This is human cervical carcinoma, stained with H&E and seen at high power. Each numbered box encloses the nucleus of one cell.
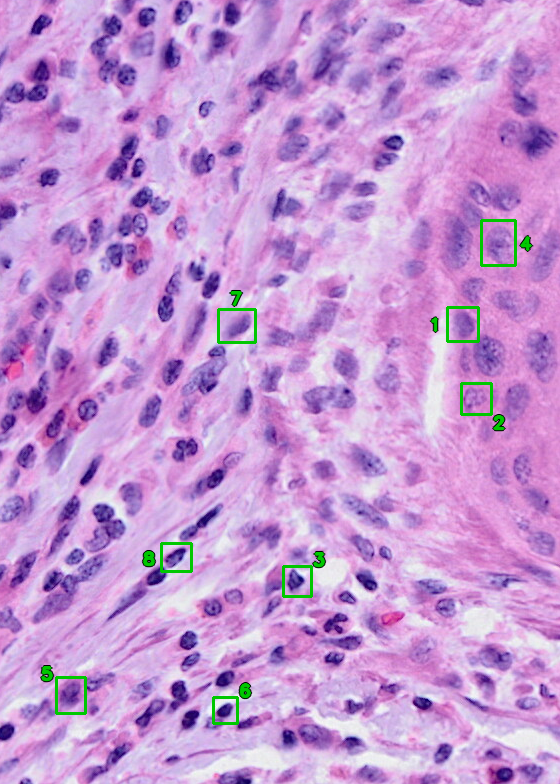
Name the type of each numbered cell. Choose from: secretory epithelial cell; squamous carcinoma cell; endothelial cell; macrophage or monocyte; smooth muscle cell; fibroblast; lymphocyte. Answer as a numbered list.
1. squamous carcinoma cell
2. squamous carcinoma cell
3. lymphocyte
4. squamous carcinoma cell
5. macrophage or monocyte
6. lymphocyte
7. macrophage or monocyte
8. lymphocyte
